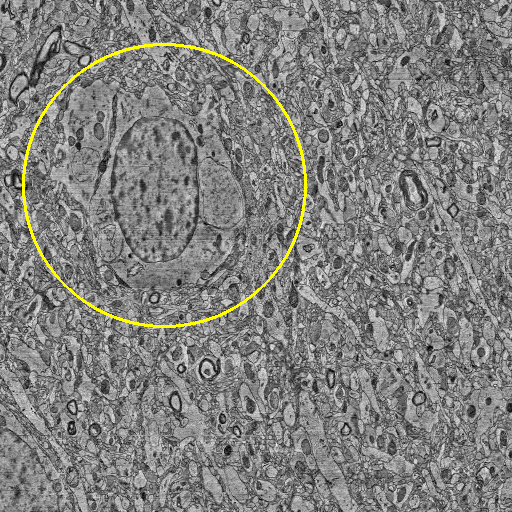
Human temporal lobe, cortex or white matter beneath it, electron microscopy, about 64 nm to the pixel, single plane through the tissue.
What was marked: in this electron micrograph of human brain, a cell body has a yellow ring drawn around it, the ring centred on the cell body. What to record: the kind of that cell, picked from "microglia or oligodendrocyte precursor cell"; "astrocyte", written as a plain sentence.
The centred cell is an astrocyte.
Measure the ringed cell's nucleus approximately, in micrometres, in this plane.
Roughly 10 micrometres long and 6 micrometres wide; in this plane the nucleus is clearly longer than it is wide.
